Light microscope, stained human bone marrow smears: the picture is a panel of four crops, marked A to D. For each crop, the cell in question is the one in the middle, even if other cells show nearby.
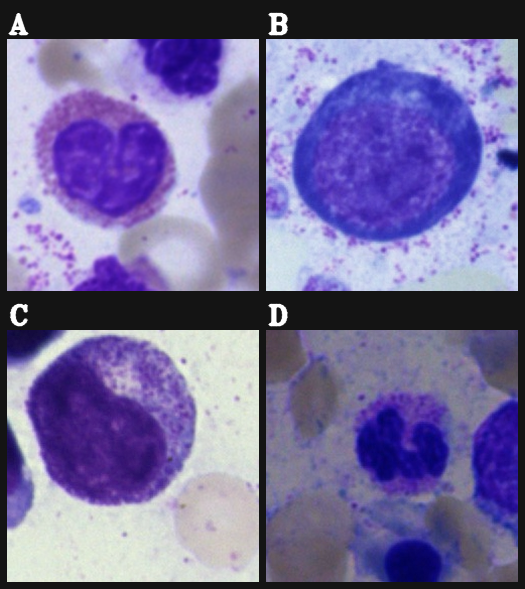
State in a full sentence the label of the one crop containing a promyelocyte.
Crop C shows a promyelocyte, and no other crop does.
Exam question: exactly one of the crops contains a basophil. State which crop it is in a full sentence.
Among these crops, crop D holds a basophil.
